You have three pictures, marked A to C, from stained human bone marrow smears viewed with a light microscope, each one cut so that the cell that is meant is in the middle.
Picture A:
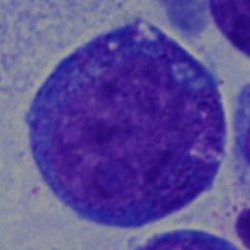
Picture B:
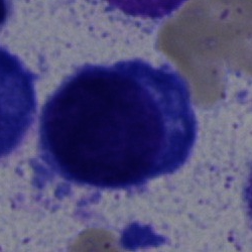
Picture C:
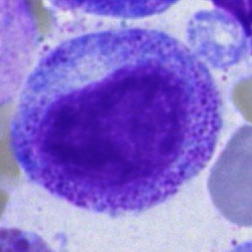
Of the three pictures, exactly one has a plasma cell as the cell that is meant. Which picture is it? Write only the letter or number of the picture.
B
